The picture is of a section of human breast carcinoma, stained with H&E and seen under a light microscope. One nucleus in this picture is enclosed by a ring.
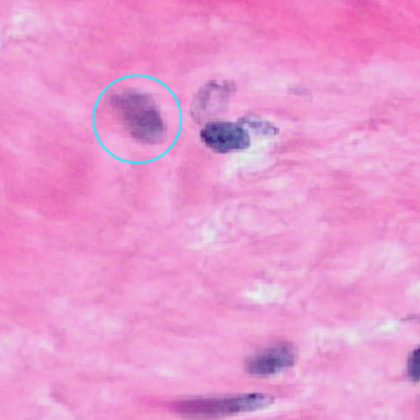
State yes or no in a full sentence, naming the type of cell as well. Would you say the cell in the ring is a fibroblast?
Yes, it is a fibroblast that the cell in the ring is.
